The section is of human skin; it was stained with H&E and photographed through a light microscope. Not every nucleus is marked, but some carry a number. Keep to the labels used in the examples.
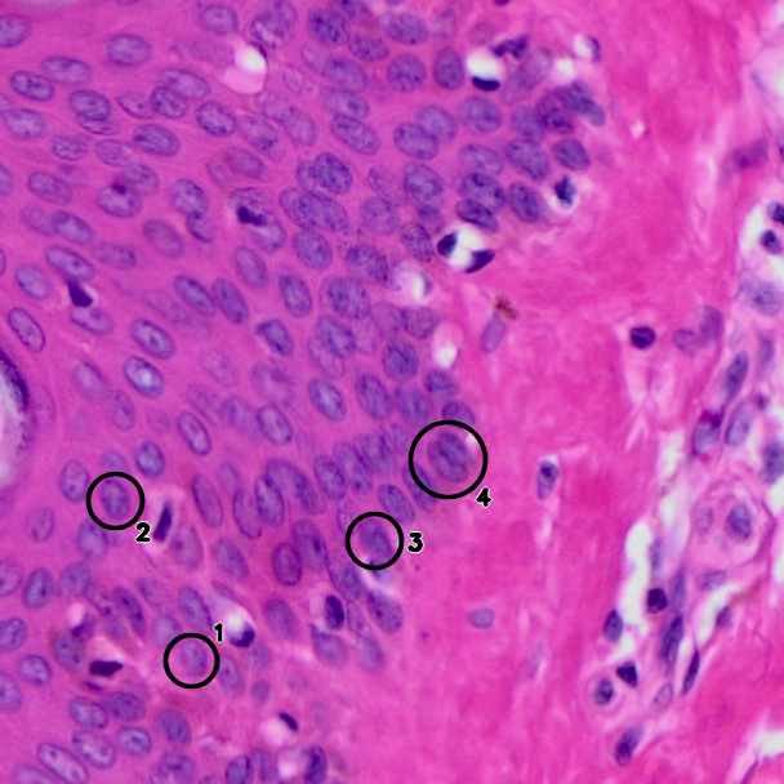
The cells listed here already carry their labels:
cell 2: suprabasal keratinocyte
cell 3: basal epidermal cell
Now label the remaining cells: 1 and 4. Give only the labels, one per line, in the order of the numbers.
basal epidermal cell
basal epidermal cell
